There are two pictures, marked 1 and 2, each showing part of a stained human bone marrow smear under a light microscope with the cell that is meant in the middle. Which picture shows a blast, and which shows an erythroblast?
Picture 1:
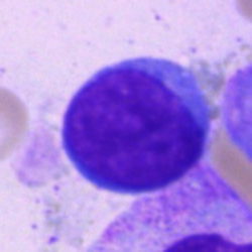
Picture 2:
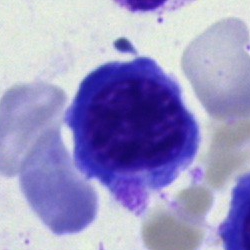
1: blast
2: erythroblast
